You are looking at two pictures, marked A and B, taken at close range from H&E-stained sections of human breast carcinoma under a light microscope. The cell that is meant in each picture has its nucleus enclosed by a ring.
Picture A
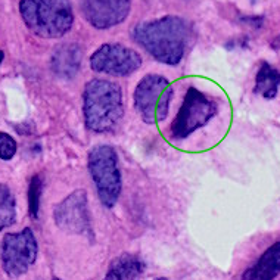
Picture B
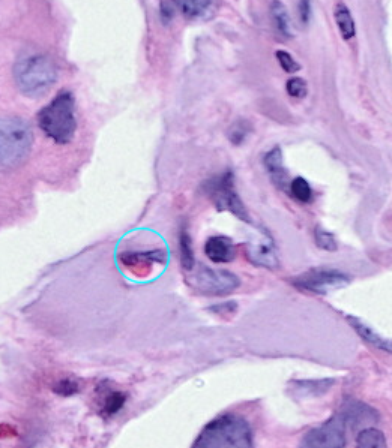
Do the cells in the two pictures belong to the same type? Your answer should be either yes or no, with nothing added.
no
